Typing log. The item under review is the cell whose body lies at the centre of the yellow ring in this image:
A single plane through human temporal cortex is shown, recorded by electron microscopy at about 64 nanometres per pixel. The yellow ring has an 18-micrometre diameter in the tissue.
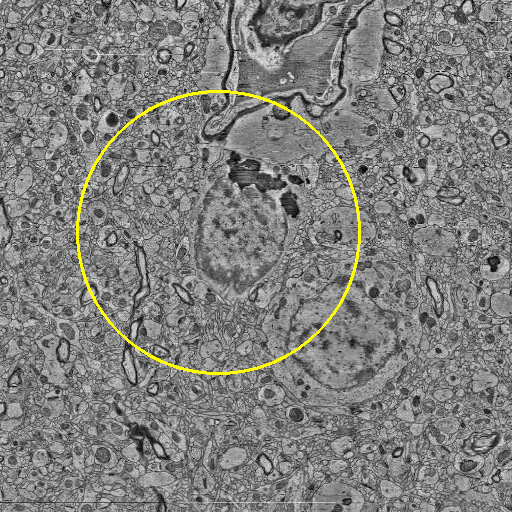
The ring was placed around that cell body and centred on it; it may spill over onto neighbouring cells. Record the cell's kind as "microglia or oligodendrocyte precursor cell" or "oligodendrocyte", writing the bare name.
oligodendrocyte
